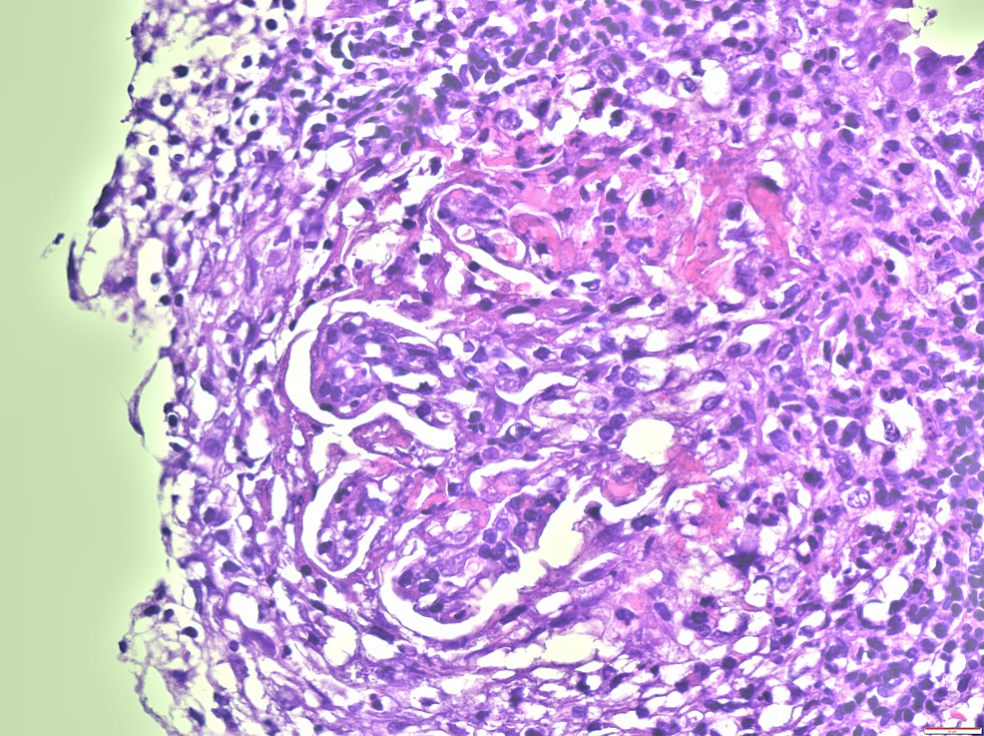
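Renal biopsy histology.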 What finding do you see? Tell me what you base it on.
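Bright pink, smudgy, structureless material lies within parts of the tuft, mostly toward its upper right. The pink material replaces the normal outline of the capillary loops in those segments.
Conclusion: fibrinoid necrosis of glomerular loops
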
